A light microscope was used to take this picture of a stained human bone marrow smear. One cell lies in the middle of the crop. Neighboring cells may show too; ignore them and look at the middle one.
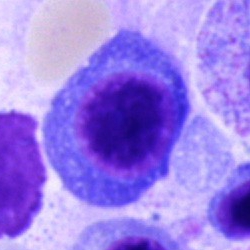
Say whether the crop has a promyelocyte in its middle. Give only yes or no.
no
